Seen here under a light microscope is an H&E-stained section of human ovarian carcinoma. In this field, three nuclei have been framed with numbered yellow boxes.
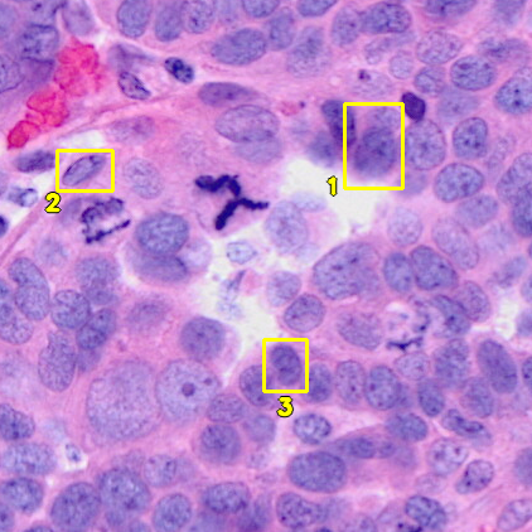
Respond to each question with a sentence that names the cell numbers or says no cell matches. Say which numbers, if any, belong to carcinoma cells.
The identity of cells 1 and 3: they are carcinoma cells.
